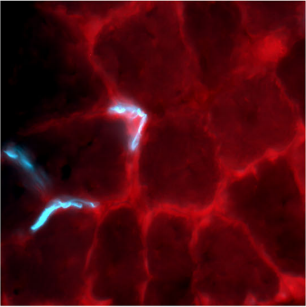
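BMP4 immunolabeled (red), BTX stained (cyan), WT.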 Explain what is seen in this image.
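This is a cross section of skeletal muscle with rounded to polygonal muscle fiber profiles outlined by red fluorescence along their borders. The interiors of the fibers show weaker, diffuse red staining.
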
